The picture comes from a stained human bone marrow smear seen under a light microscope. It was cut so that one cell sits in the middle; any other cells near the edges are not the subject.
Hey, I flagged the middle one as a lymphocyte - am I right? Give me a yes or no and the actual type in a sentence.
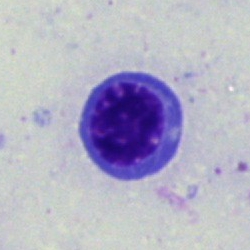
No, the cell positioned in the middle is a normoblast, not a lymphocyte.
